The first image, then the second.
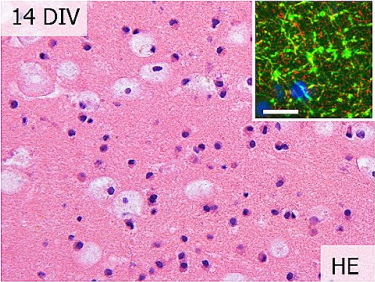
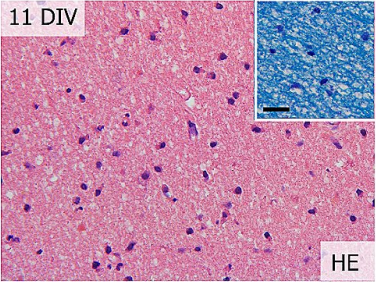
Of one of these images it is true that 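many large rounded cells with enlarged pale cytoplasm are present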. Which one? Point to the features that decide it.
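The first image. First image: numerous large round cells with pale, bulky cytoplasm fill the field. Second image: only small dark nuclei are scattered in a finely vacuolated pink neuropil, without large rounded cells.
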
